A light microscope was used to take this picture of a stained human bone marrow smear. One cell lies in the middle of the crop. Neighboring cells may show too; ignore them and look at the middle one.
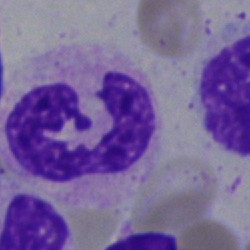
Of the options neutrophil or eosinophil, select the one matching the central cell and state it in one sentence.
This crop is built around a neutrophil at its centre.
